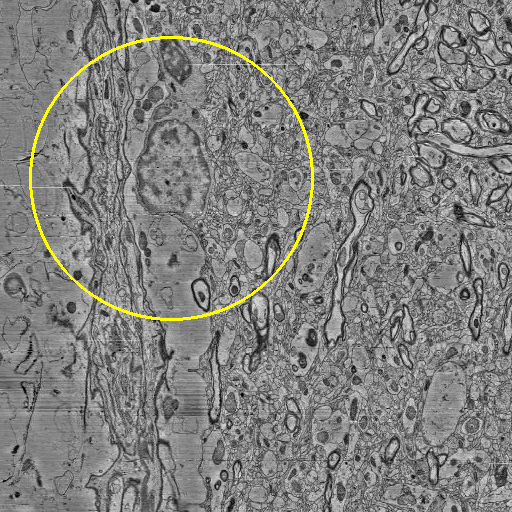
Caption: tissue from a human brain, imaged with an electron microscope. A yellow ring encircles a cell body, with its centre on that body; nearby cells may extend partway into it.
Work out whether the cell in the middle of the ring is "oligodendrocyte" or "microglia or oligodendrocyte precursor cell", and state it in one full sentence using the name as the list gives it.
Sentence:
In the picture, the cell that the yellow ring surrounds at its centre is an oligodendrocyte.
